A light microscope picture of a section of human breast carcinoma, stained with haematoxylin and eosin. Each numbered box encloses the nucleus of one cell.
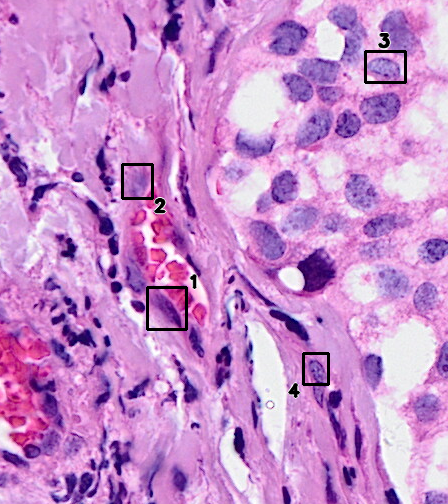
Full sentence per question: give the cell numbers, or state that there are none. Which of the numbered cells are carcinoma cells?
Cell 3 is a carcinoma cell; no further numbered cell is.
